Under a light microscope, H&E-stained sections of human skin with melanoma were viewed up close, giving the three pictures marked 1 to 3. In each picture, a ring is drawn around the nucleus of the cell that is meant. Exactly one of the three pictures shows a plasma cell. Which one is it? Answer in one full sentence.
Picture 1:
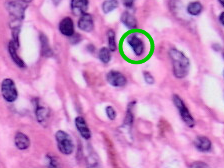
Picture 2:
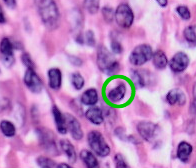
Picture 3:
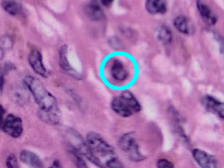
It is picture 3 that shows the plasma cell.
